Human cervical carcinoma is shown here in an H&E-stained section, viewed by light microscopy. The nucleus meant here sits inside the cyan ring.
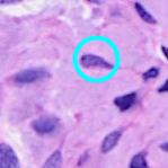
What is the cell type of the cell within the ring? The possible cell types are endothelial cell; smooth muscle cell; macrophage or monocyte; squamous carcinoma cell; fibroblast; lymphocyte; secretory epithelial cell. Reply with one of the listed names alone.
fibroblast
